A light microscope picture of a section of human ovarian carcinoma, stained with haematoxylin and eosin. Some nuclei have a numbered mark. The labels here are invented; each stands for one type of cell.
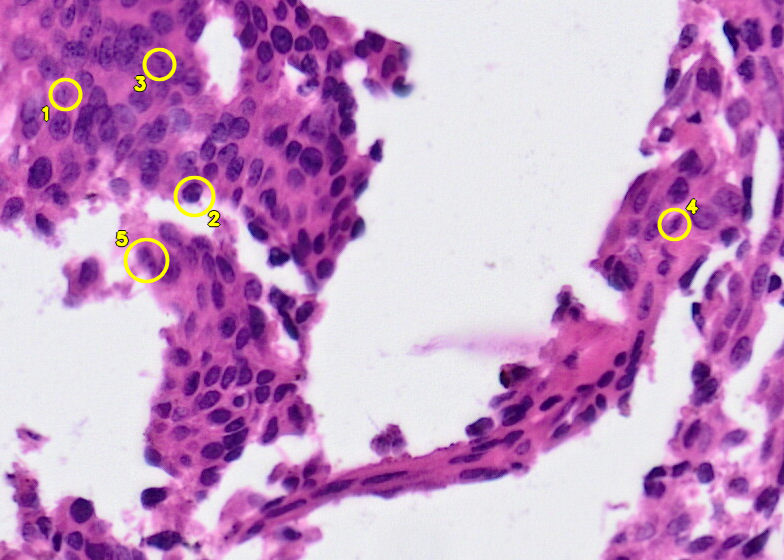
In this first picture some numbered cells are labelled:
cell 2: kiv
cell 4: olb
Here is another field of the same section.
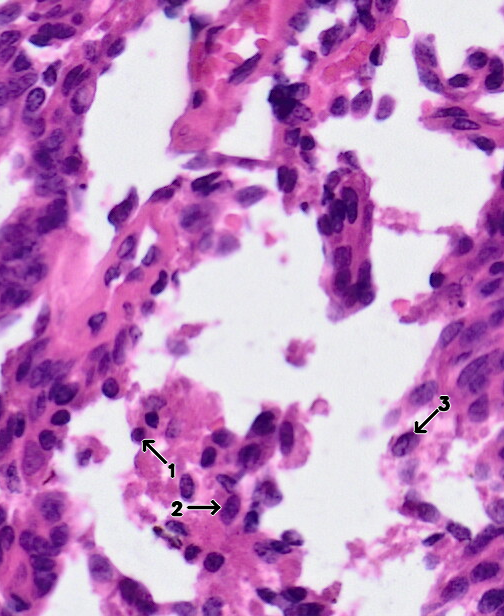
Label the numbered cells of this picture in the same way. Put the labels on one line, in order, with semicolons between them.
olb; kiv; olb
